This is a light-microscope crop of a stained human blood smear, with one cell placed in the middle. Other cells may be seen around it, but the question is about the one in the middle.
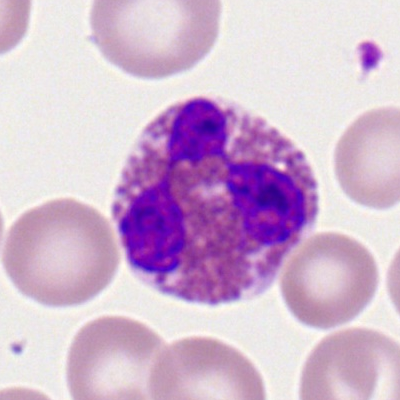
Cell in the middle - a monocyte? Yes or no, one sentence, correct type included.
No, not a monocyte: the cell in the middle of this crop is an eosinophil.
